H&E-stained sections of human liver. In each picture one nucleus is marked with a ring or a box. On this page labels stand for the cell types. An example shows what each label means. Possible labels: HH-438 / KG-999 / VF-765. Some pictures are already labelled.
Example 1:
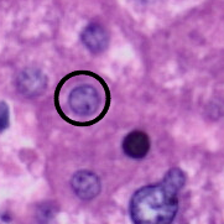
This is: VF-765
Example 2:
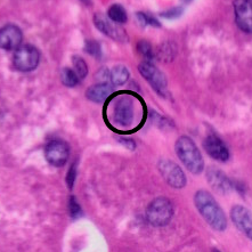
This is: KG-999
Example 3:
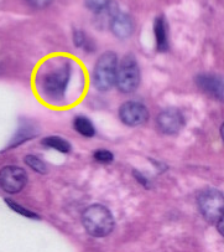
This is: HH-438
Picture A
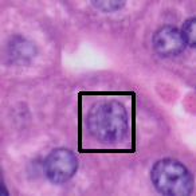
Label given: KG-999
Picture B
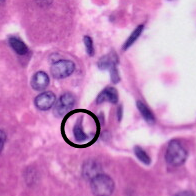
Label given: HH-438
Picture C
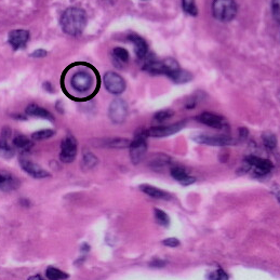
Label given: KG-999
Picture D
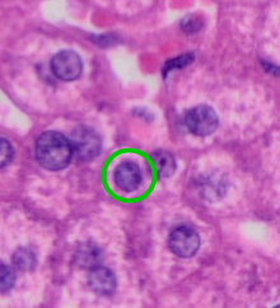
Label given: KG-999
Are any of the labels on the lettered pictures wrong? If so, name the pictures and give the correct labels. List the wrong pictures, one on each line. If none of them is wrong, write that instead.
A: not KG-999 but VF-765
D: not KG-999 but VF-765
